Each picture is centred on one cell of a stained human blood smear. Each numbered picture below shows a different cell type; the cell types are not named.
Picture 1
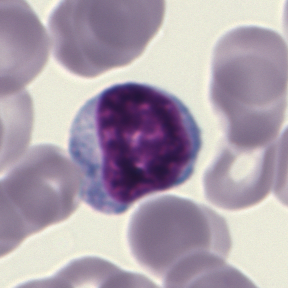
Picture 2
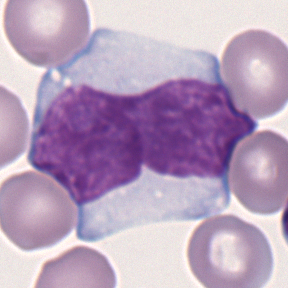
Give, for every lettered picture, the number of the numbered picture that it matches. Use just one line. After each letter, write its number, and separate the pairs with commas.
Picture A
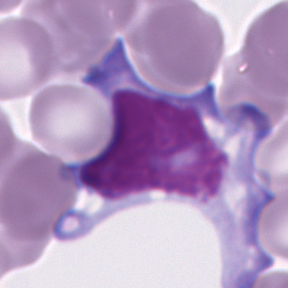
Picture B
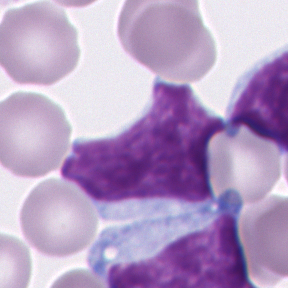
A 1, B 1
